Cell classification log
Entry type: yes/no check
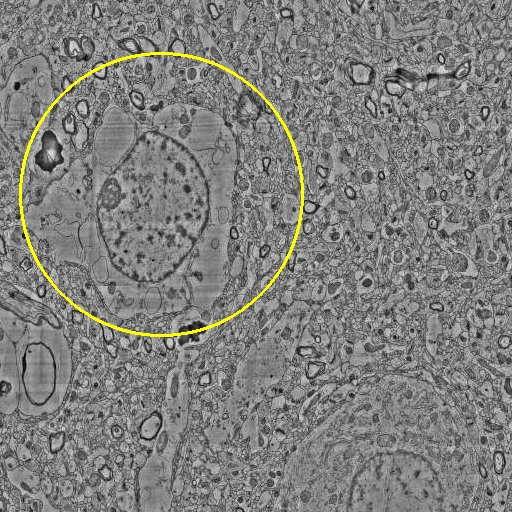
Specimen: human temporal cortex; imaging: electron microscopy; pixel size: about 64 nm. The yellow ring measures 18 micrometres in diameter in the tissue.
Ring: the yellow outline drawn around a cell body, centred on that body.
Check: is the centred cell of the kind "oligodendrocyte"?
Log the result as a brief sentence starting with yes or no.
No, the cell is of another kind.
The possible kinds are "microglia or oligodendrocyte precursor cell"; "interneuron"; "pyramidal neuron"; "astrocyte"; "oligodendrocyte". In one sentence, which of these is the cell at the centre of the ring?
The cell in the ring is an astrocyte instead.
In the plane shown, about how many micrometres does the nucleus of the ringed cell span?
The nucleus comes to roughly 10 by 7 micrometres in this plane.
